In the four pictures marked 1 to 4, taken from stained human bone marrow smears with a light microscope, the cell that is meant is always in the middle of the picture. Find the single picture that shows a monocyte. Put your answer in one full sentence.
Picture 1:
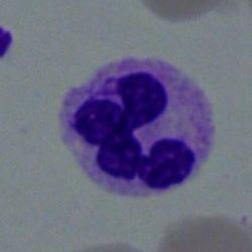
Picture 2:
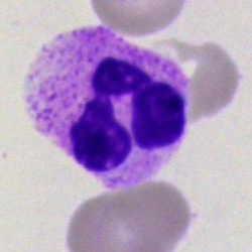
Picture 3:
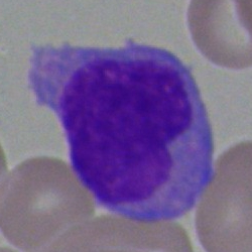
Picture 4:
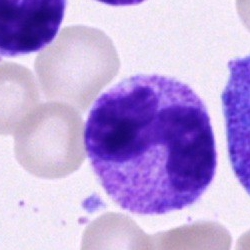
The monocyte is the one in picture 3.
